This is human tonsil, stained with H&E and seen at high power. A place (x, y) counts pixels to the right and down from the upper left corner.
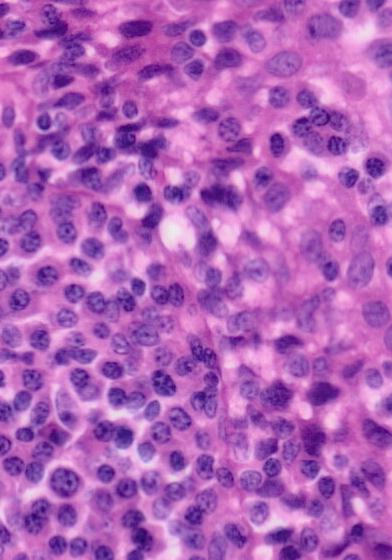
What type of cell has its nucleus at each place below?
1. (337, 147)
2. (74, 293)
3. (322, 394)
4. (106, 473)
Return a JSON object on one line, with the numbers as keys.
{"1": "plasma cell", "2": "plasma cell", "3": "squamous epithelial cell", "4": "plasma cell"}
